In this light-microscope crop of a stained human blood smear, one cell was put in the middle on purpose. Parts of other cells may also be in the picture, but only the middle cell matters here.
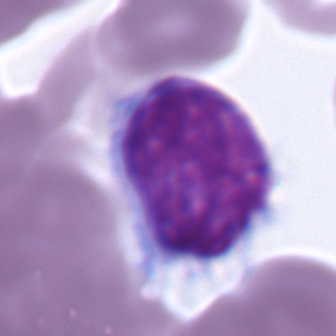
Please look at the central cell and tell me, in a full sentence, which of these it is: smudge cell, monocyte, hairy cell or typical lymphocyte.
Positioned in the middle of the crop is a hairy cell.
